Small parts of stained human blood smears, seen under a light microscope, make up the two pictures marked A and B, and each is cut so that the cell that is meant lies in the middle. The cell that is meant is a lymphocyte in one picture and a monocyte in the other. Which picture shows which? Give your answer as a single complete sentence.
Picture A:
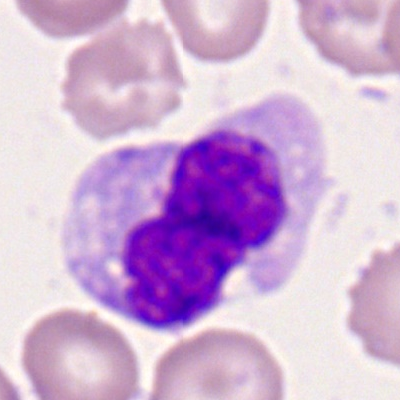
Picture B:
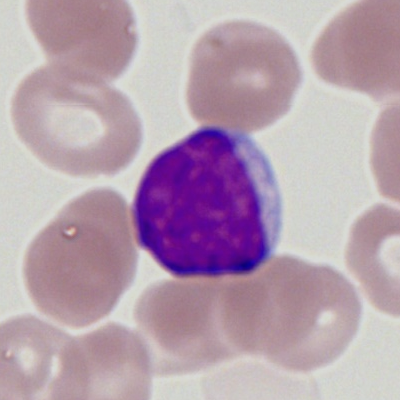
Picture A is of a monocyte, and picture B is of a lymphocyte.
